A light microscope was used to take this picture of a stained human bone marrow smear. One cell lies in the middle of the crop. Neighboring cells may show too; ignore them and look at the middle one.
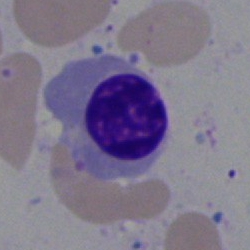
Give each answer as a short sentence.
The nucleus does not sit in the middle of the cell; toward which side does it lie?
Seen from the middle of the cell, the nucleus lies toward the right.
